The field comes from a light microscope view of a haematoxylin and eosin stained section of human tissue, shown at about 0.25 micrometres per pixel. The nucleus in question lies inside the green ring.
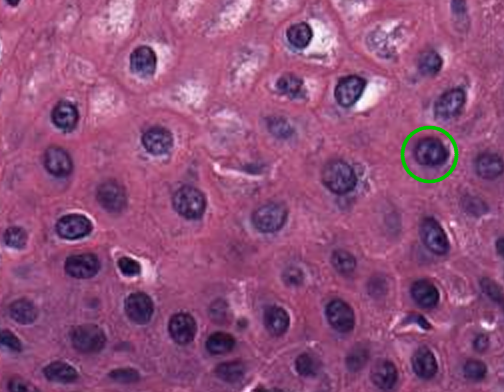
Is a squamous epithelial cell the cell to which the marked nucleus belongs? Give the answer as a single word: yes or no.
yes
